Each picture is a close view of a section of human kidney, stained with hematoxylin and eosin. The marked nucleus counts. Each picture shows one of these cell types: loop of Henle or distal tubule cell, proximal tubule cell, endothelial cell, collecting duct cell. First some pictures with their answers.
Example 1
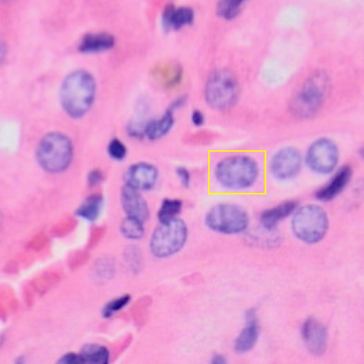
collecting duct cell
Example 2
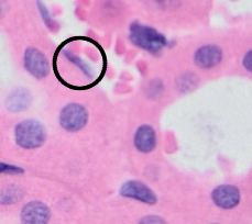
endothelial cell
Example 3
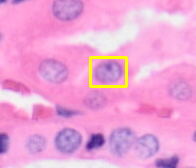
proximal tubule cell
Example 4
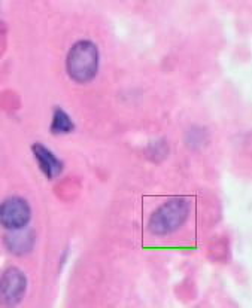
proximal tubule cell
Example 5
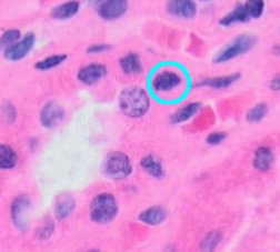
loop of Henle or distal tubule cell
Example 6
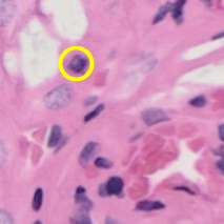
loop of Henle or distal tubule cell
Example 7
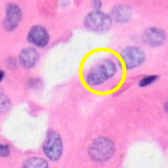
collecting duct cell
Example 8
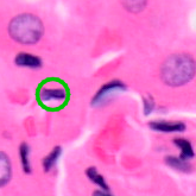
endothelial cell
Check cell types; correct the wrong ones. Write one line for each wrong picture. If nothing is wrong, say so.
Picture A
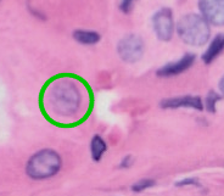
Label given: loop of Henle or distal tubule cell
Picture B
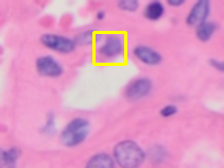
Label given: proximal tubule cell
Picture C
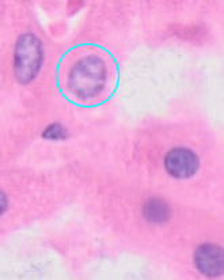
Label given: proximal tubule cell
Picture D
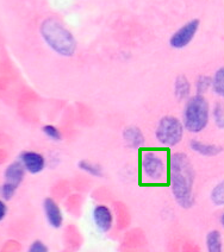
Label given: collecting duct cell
A should be proximal tubule cell, not loop of Henle or distal tubule cell
B should be collecting duct cell, not proximal tubule cell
